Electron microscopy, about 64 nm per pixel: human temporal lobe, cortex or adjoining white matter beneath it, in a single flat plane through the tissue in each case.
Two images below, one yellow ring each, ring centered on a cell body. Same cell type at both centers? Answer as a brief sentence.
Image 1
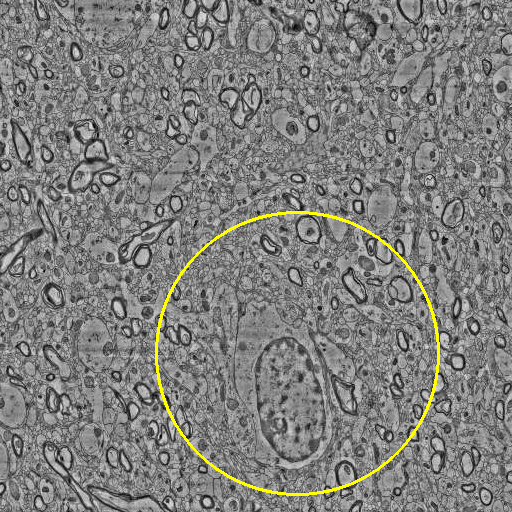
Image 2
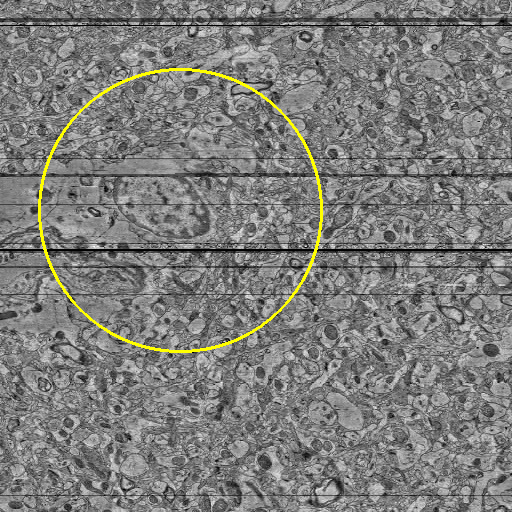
Yes, both cells are of the same type.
